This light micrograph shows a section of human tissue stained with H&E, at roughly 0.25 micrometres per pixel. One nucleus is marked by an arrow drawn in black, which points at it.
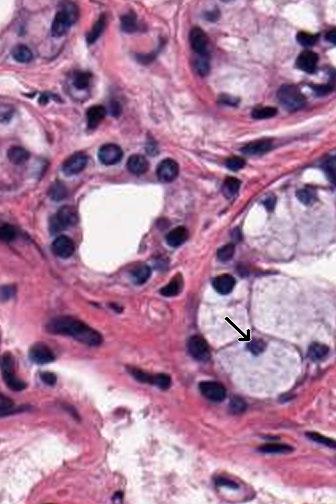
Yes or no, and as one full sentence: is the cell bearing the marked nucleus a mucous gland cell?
Yes, the owner of the marked nucleus is a mucous gland cell.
